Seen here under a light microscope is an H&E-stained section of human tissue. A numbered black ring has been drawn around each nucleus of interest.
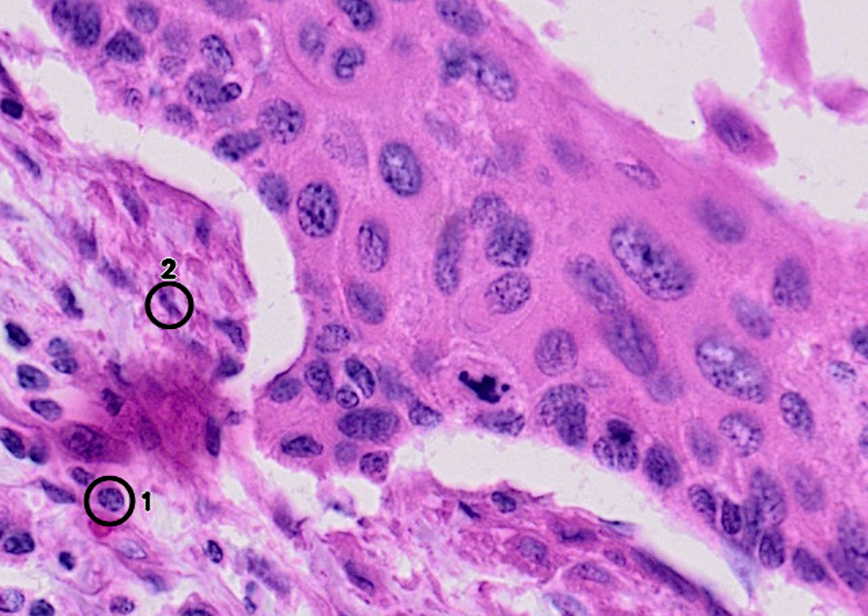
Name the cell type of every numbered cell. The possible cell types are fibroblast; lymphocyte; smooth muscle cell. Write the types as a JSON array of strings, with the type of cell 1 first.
["lymphocyte", "fibroblast"]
